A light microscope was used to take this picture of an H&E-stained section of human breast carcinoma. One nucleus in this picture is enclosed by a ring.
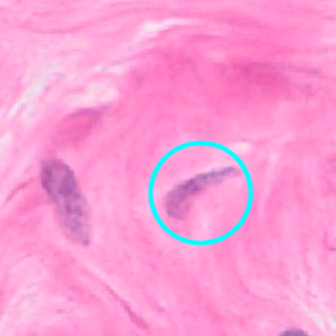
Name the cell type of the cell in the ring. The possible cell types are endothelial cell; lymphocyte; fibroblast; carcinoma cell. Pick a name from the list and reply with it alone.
fibroblast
